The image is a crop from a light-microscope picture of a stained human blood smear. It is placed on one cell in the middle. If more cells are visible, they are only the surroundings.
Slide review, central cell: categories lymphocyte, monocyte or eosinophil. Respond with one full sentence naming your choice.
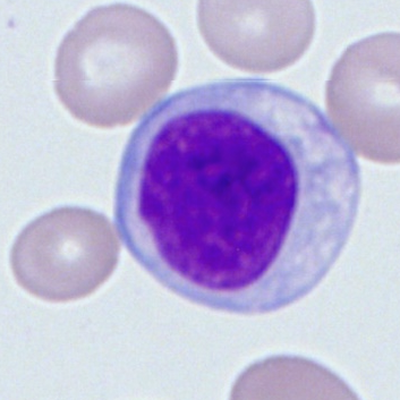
The cell at the centre of the field is a lymphocyte.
